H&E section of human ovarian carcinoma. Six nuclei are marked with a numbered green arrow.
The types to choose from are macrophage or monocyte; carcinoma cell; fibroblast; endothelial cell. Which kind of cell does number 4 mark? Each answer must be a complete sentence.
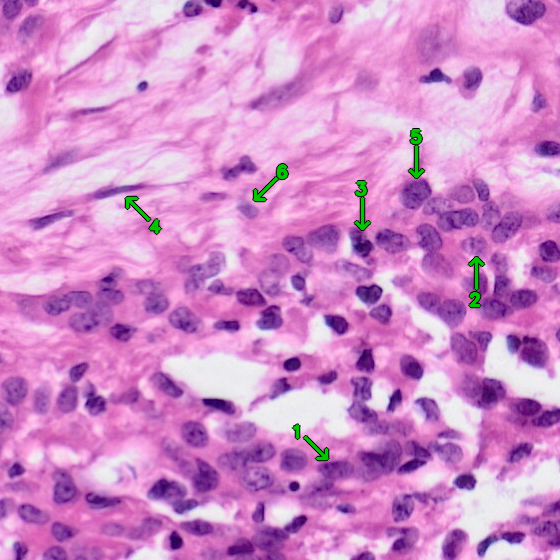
The cell that is numbered 4 is a fibroblast.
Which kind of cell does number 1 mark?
The one labeled 1 is a carcinoma cell, to put it simply.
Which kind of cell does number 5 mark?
Cell 5 in the field of view is a carcinoma cell.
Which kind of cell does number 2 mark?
The cell marked with the number 2 is a carcinoma cell.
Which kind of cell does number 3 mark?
The cell numbered 3 represents a carcinoma cell.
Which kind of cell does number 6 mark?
Number 6 is placed on a fibroblast here.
